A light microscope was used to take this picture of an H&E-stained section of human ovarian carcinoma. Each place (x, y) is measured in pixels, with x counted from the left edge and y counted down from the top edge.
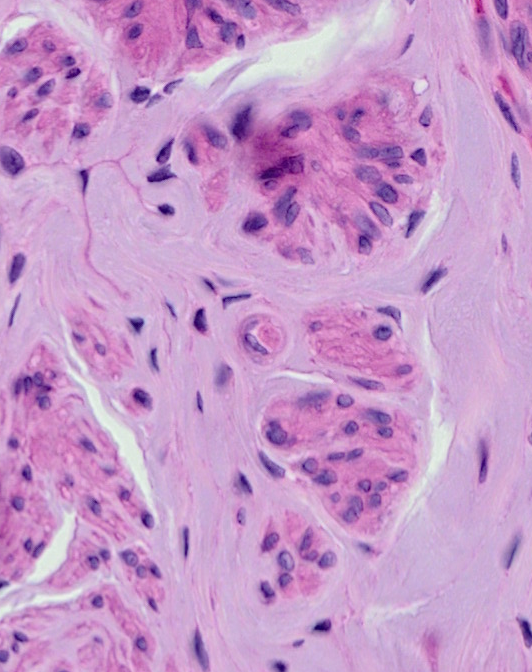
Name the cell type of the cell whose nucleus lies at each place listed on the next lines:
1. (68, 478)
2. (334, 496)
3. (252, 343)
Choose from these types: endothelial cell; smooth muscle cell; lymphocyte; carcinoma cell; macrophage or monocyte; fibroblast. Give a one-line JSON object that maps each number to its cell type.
{"1": "smooth muscle cell", "2": "smooth muscle cell", "3": "endothelial cell"}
